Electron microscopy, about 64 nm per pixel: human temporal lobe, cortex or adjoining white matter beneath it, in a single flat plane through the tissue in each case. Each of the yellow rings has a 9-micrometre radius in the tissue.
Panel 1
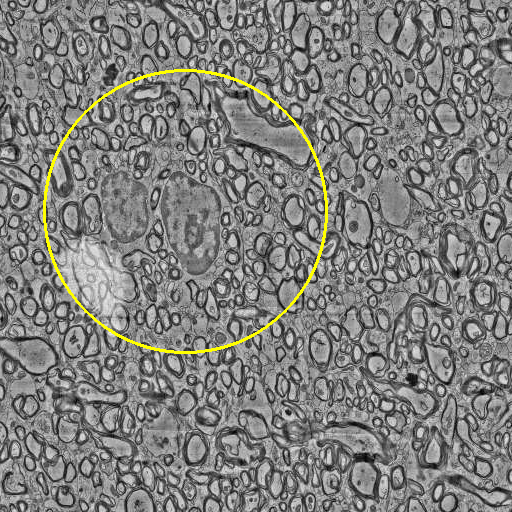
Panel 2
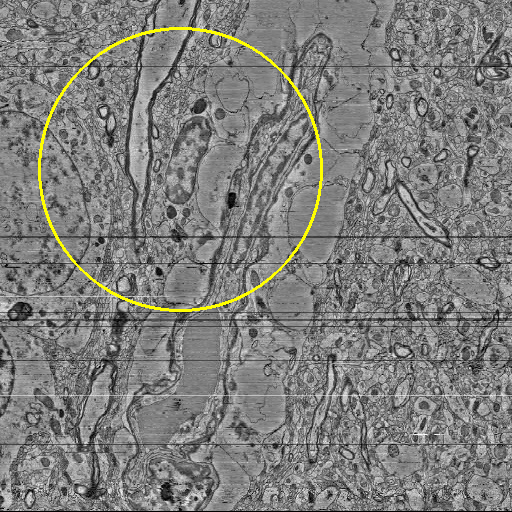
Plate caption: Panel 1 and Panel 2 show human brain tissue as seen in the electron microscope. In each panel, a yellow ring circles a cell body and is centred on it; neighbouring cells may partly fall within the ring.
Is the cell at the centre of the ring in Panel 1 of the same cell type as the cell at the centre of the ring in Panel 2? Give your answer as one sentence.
Yes, the two cells are of the same type.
